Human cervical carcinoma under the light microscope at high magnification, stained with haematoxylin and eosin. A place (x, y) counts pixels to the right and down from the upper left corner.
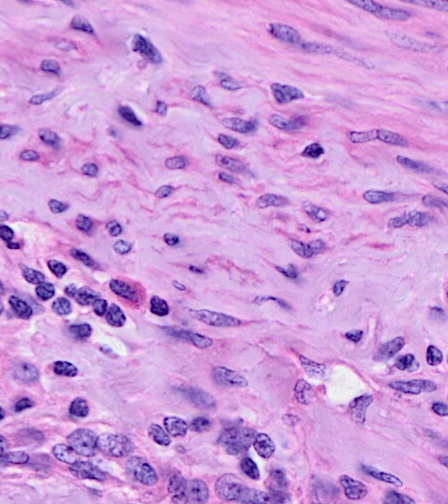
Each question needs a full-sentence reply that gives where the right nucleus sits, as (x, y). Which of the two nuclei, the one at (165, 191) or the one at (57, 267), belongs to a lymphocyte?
Of the pair, the nucleus positioned at (57, 267) is that of a lymphocyte.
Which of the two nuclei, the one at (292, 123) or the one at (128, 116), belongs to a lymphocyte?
The nucleus located at (128, 116) is the one held within a lymphocyte.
